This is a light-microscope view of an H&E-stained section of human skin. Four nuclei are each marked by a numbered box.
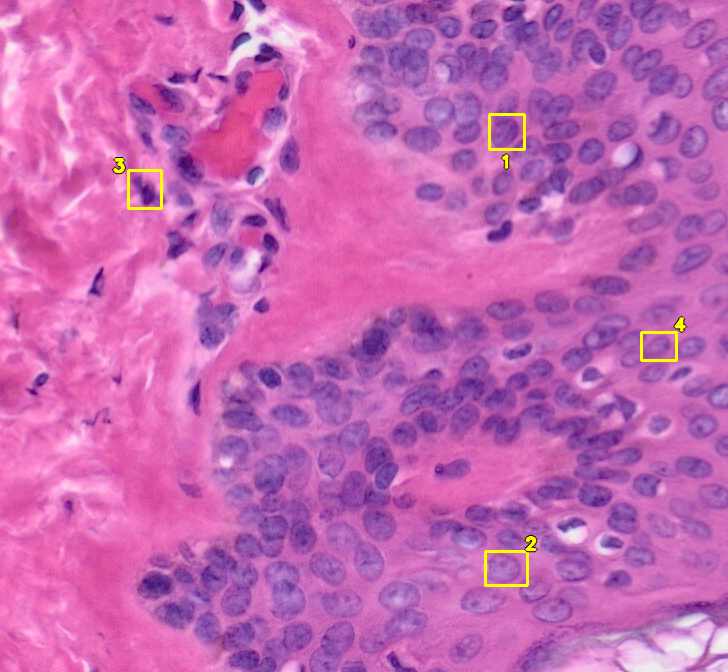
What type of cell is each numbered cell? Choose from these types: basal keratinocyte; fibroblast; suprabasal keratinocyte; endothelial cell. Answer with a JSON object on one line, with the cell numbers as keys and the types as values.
{"1": "basal keratinocyte", "2": "suprabasal keratinocyte", "3": "fibroblast", "4": "suprabasal keratinocyte"}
